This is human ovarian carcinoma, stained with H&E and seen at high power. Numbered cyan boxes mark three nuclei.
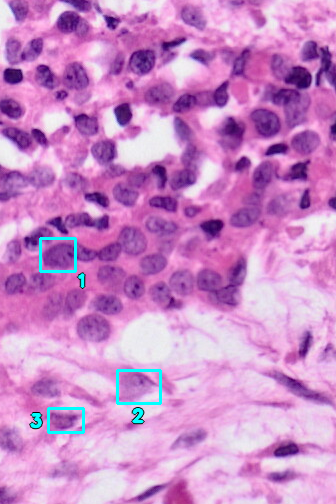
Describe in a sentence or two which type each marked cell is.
Cell 1 is a carcinoma cell. Cells 2 and 3 are fibroblasts.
